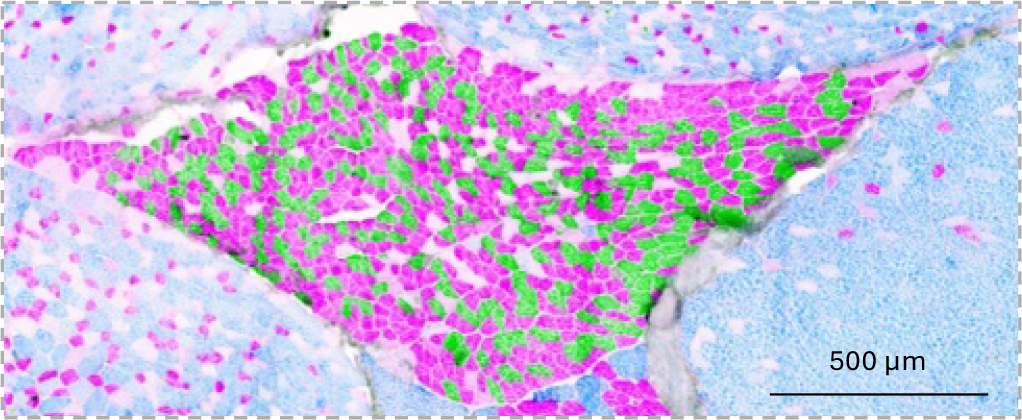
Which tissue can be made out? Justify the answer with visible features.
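Soleus. A wedge-shaped muscle whose fibers are almost all green or pink. Green and pink fibers are intermixed in a mosaic. Surrounding muscle is mostly blue with scattered pink fibers.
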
